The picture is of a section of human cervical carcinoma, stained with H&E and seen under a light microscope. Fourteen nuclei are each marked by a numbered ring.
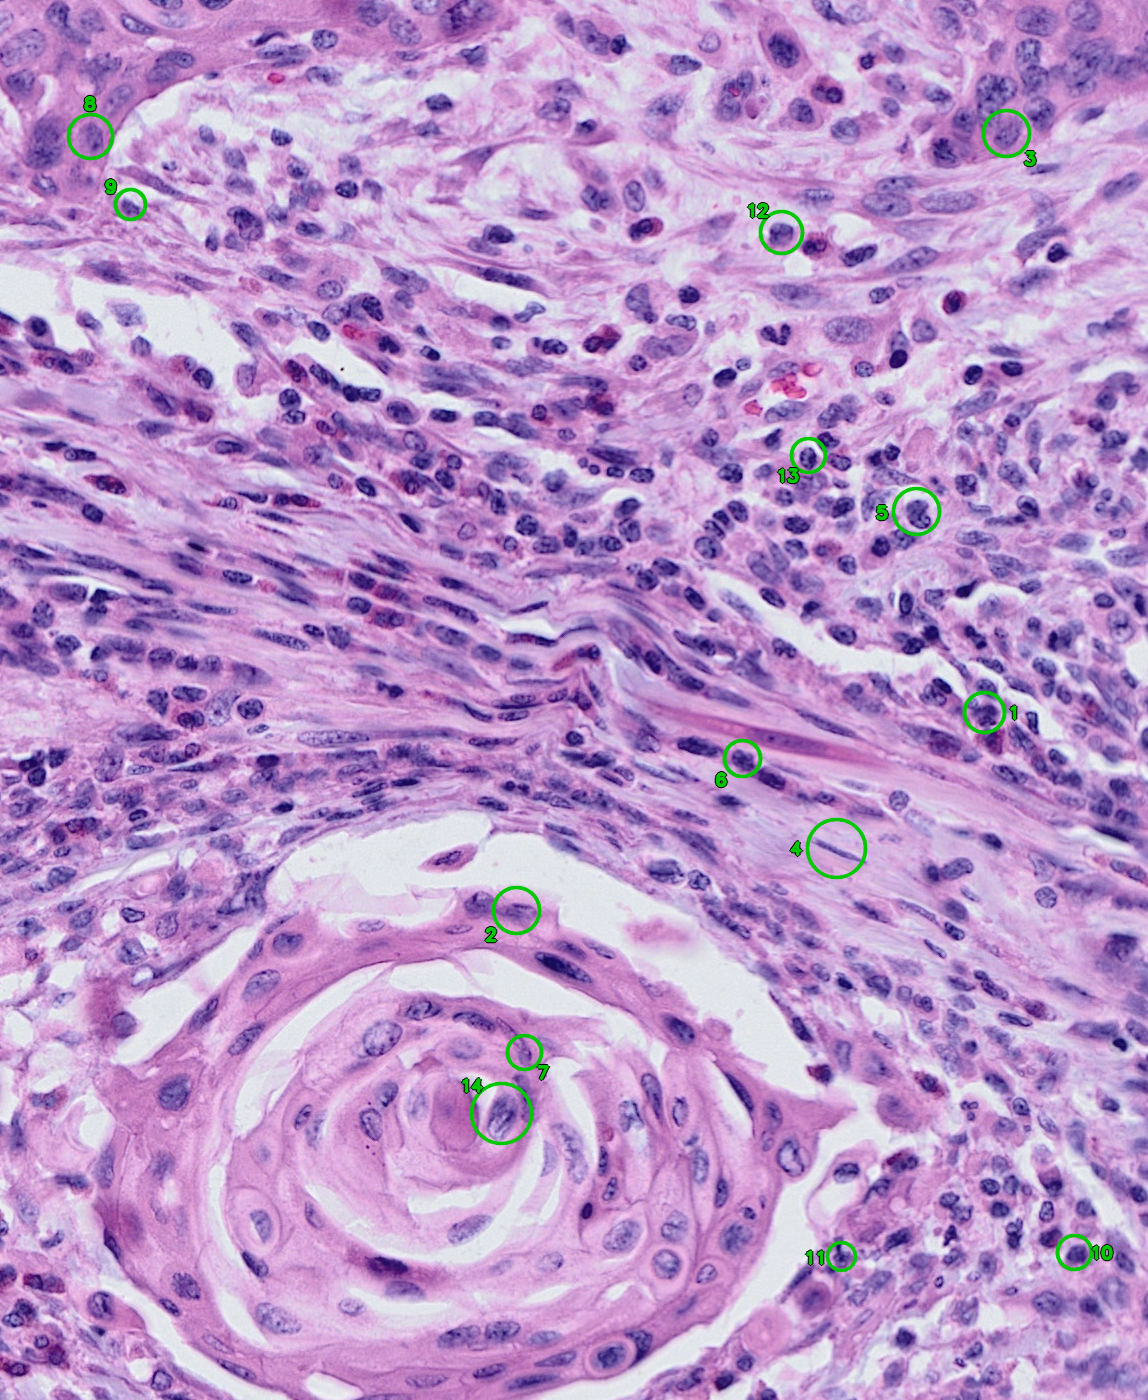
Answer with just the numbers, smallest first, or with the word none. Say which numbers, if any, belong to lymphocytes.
1, 5, 6, 10, 11, 13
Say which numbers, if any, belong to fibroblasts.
4, 9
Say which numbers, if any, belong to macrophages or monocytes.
12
